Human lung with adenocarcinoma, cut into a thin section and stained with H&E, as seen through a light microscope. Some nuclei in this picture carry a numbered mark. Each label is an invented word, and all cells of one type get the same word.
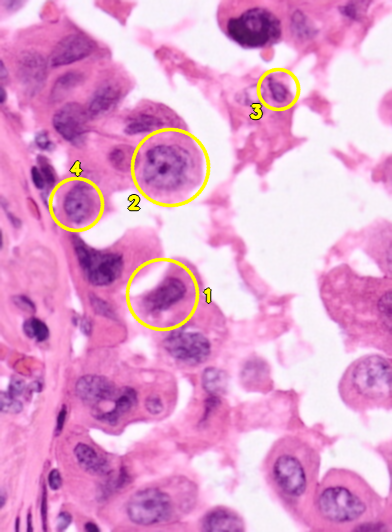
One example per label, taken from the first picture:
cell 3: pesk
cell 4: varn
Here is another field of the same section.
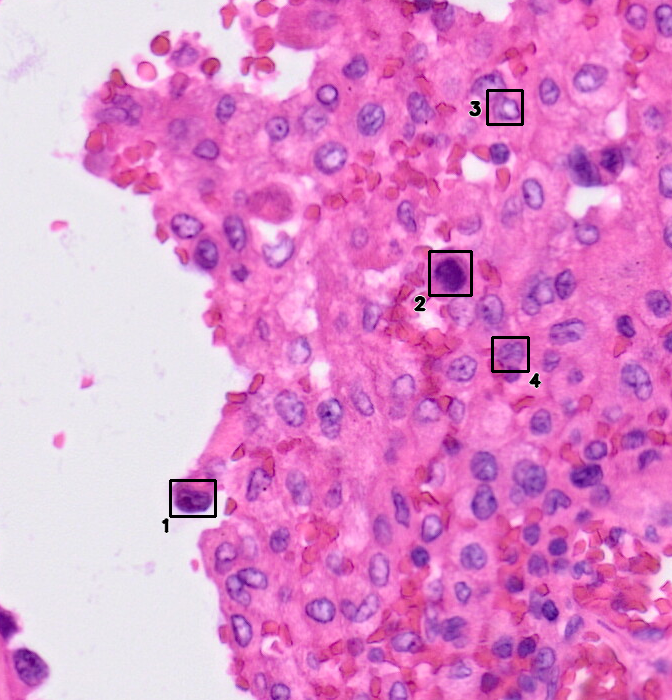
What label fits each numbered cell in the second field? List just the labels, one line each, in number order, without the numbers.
varn
varn
pesk
pesk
